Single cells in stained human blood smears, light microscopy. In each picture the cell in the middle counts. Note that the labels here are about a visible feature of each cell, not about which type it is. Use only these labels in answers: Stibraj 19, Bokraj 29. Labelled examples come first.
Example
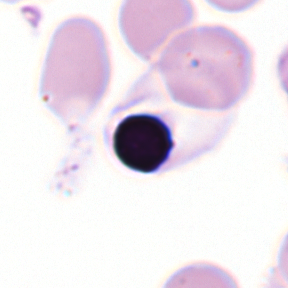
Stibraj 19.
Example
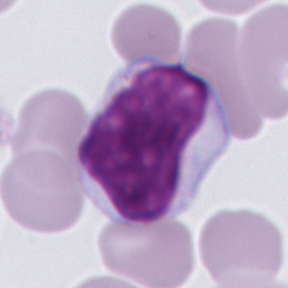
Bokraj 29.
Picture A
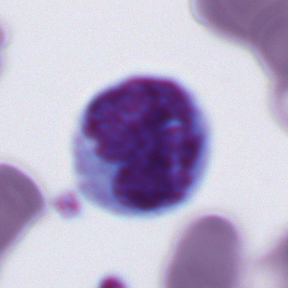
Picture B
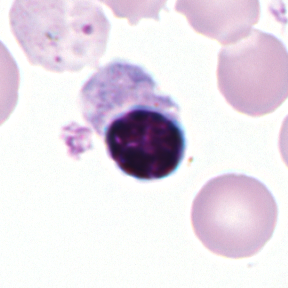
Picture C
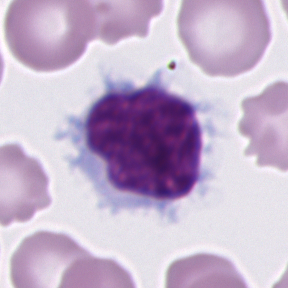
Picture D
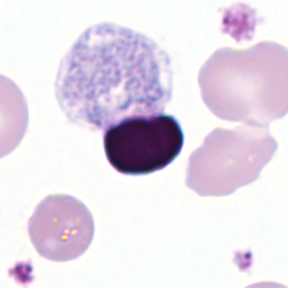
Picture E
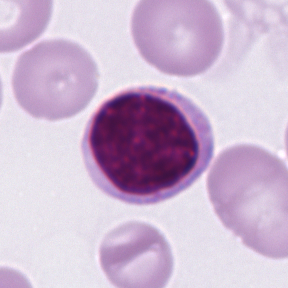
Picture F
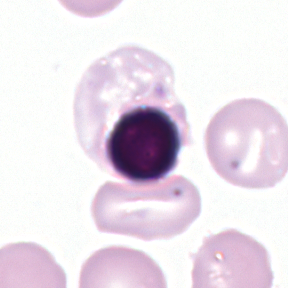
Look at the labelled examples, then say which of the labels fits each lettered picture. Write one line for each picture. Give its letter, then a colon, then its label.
A: Bokraj 29.
B: Stibraj 19.
C: Bokraj 29.
D: Stibraj 19.
E: Bokraj 29.
F: Stibraj 19.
